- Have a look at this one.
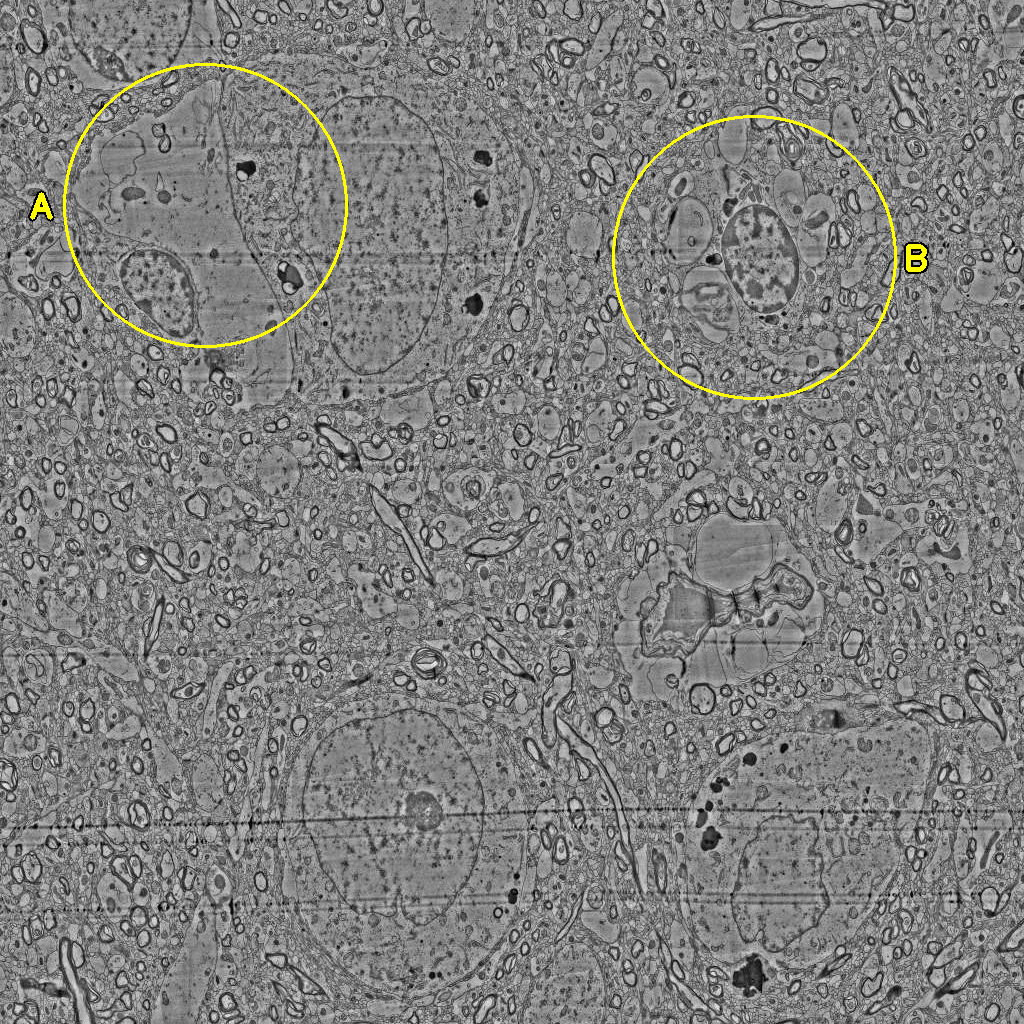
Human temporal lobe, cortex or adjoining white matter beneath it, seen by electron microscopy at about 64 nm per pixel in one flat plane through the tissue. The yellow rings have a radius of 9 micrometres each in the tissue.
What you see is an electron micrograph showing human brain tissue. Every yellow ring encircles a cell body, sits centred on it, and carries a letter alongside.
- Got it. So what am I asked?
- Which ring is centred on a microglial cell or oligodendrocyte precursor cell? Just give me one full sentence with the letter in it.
The cell asked for sits in the centre of the ring lettered B.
